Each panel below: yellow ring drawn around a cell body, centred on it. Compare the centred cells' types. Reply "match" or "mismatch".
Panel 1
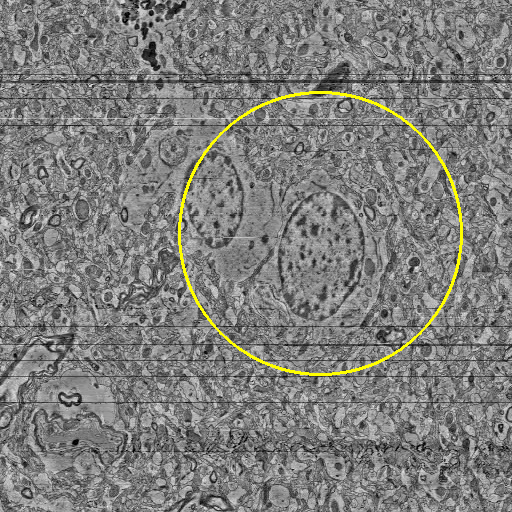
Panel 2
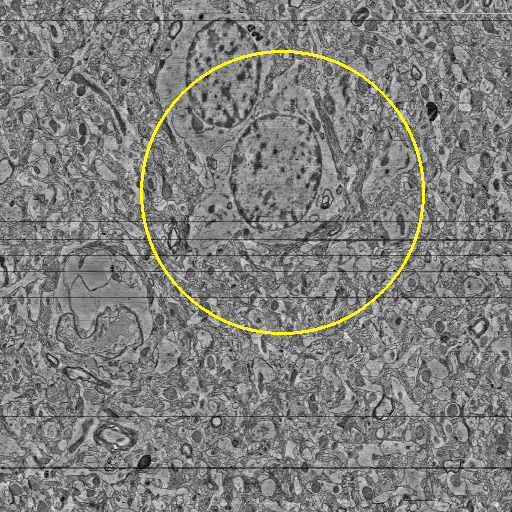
match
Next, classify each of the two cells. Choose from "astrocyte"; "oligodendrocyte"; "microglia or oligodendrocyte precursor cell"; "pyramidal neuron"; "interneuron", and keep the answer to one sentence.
Both pictures show an astrocyte at the centre of the ring.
